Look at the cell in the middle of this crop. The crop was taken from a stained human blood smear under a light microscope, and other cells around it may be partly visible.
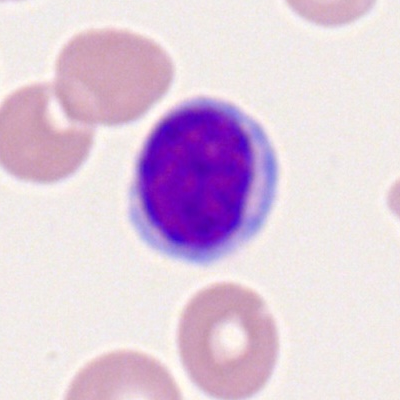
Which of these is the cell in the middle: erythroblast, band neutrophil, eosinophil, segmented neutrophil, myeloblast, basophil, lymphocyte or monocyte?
lymphocyte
